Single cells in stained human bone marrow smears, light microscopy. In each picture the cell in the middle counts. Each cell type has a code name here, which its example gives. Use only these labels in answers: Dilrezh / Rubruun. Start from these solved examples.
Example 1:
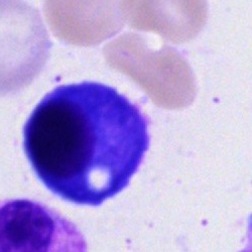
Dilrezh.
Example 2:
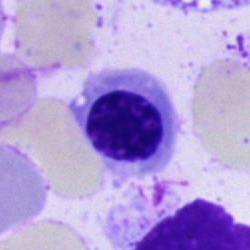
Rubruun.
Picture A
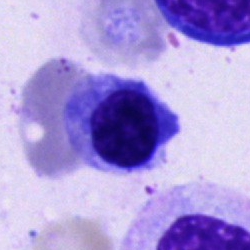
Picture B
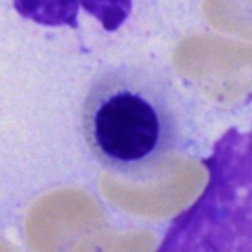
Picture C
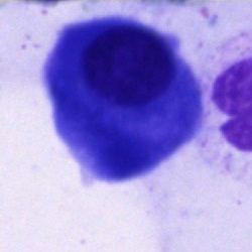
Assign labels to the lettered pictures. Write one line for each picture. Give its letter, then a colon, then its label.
A: Rubruun.
B: Rubruun.
C: Dilrezh.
